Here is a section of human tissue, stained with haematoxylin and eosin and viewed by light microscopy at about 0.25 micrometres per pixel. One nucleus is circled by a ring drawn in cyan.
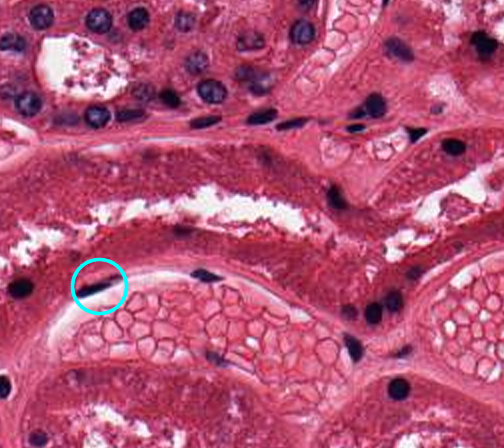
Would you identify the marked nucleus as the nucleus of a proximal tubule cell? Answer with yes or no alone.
no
